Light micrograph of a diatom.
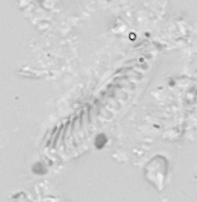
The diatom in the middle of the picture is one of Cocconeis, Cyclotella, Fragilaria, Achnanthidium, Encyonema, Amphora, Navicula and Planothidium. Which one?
Cyclotella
